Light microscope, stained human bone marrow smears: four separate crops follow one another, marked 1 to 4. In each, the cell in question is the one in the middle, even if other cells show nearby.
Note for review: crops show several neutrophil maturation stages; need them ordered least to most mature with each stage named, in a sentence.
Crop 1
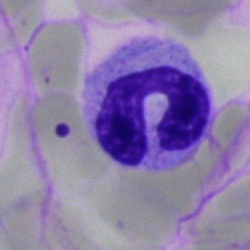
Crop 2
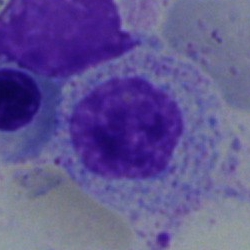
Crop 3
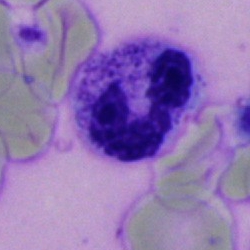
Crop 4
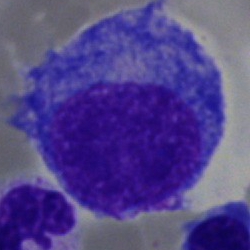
Ranked from the least mature cell to the most mature, they are crop 4 (a promyelocyte), crop 2 (a myelocyte), crop 1 (a band neutrophil) and crop 3 (a segmented neutrophil).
